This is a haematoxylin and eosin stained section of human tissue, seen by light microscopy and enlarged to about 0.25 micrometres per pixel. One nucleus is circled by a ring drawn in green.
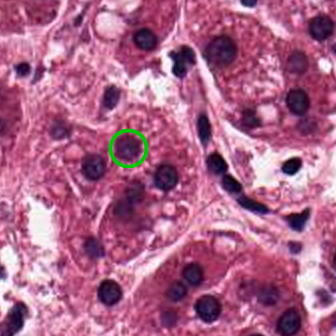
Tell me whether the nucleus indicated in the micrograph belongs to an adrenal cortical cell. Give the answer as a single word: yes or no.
yes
